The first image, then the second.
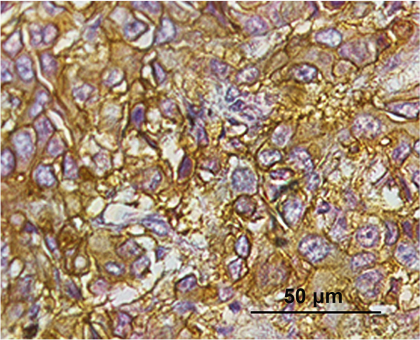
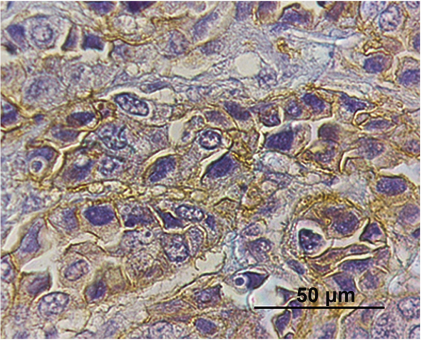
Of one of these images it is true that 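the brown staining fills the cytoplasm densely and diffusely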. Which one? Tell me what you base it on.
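First image: dense brown stain throughout the cytoplasm and along membranes, obscuring much of the background. Second image: brown stain mainly as thin lines at cell borders, with paler cytoplasm.
Answer: the first image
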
